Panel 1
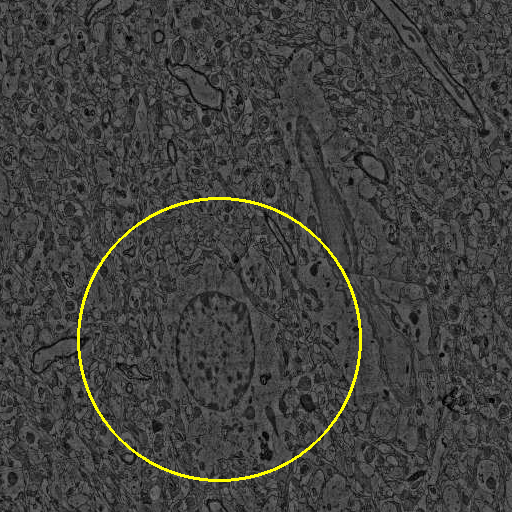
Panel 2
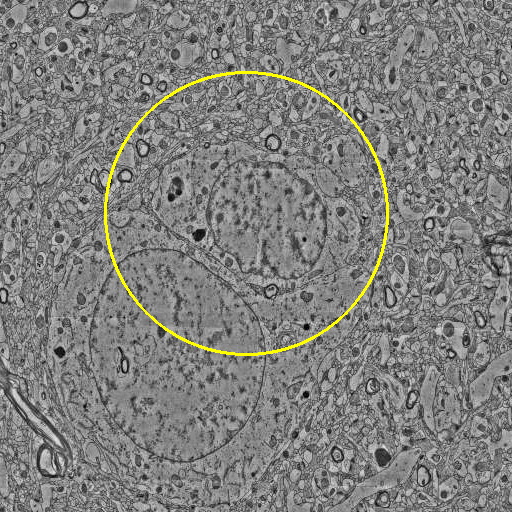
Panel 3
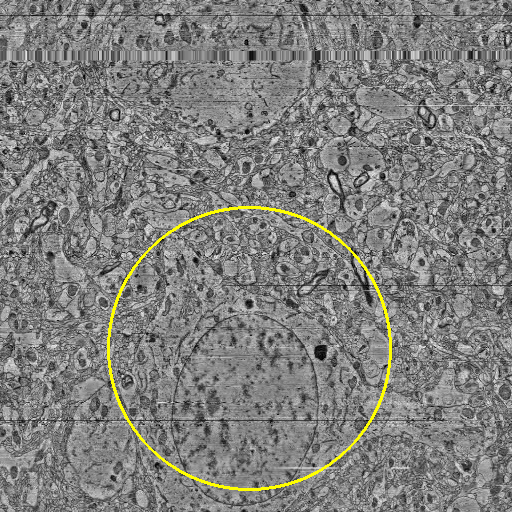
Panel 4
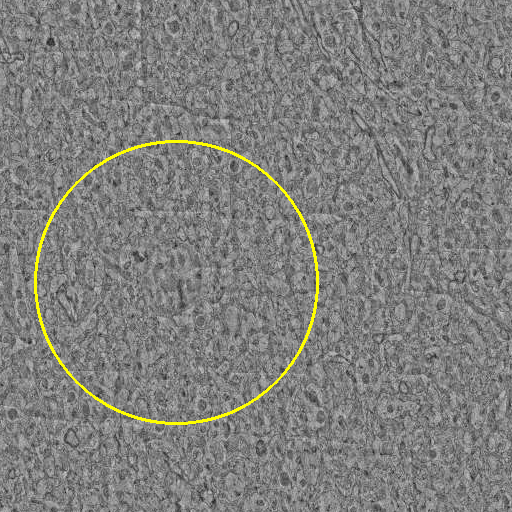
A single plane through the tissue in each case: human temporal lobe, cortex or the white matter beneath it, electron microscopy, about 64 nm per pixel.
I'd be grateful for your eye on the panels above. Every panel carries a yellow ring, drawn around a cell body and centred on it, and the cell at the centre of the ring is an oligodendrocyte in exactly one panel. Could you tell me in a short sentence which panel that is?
Panel 4 is the one with it at the centre of the ring.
